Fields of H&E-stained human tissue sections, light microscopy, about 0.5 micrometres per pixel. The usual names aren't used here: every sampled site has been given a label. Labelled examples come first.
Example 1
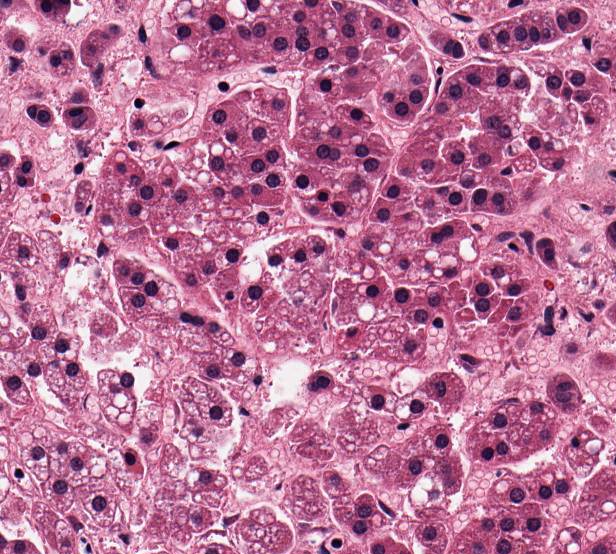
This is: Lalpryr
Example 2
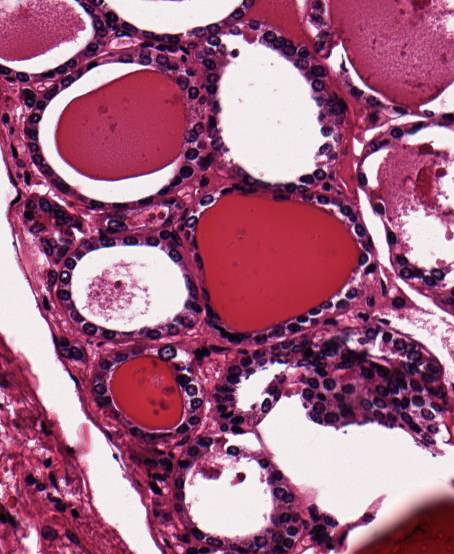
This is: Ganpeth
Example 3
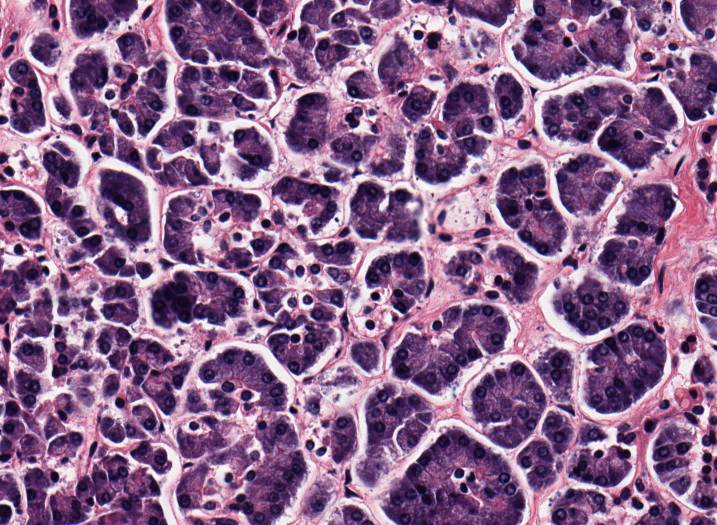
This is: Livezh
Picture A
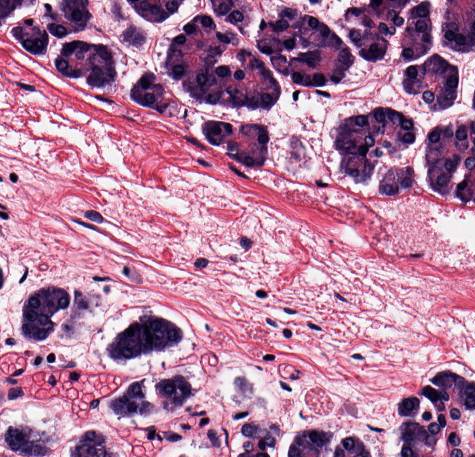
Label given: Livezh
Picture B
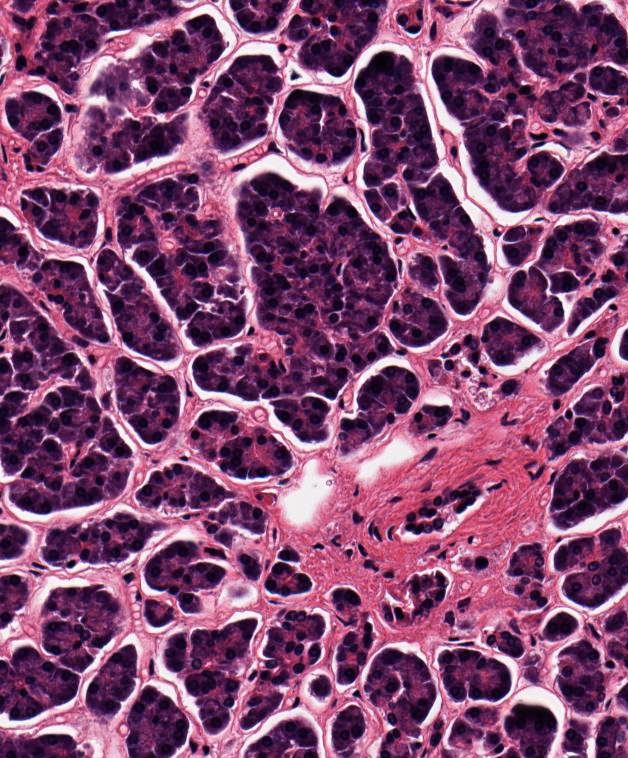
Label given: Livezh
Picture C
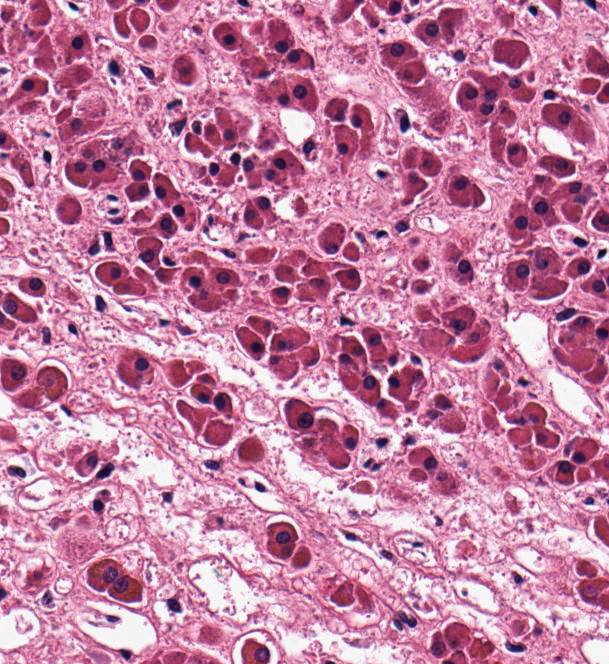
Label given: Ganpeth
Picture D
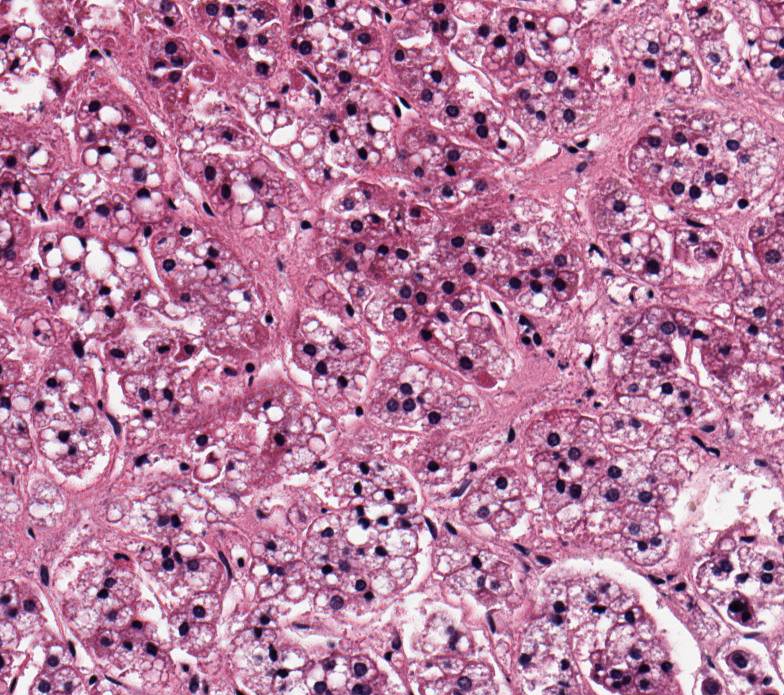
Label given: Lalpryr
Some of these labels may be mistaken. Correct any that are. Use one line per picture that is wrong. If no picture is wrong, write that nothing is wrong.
C should be Lalpryr, not Ganpeth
